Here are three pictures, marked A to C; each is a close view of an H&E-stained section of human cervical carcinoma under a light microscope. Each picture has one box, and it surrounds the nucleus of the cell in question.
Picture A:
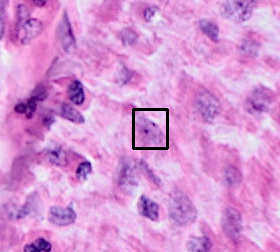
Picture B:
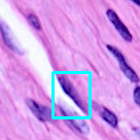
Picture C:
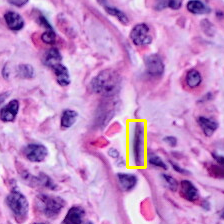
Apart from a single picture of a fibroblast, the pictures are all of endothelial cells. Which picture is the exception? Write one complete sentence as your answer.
The cell in picture A is the fibroblast.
